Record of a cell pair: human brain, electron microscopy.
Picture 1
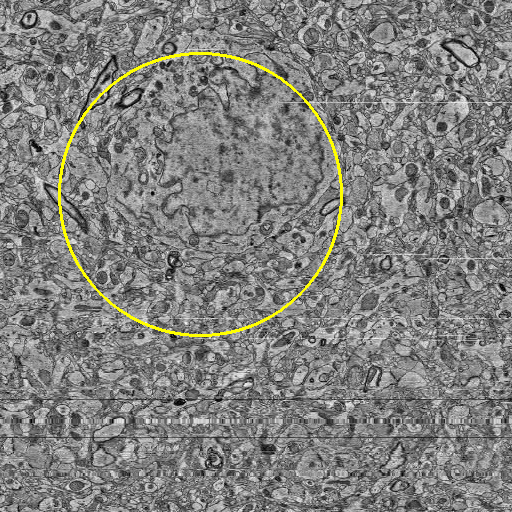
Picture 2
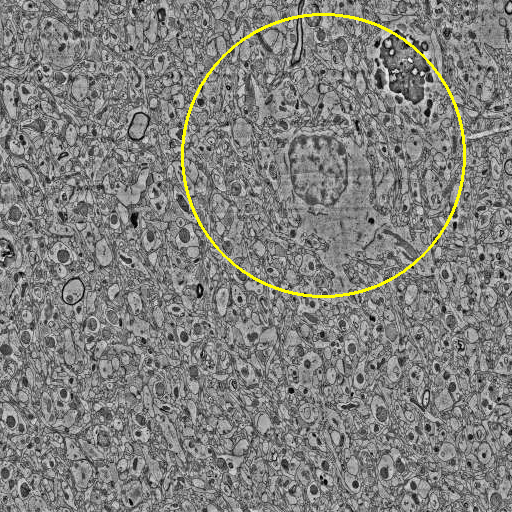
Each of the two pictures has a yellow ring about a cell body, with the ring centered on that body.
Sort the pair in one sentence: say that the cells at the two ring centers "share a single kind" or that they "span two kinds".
The cells centered in the rings of Pictures 1 and 2 span two kinds.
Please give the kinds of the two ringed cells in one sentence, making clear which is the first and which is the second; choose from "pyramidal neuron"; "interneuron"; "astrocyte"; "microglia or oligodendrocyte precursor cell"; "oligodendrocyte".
In the second picture the ringed cell is an astrocyte; in the first it is an interneuron.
